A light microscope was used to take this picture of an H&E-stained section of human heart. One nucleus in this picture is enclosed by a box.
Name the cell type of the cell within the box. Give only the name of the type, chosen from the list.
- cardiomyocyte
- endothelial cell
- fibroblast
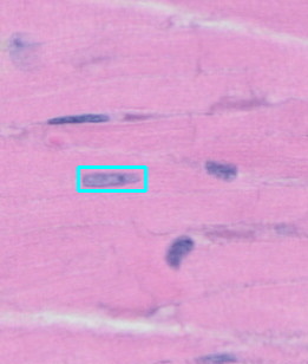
cardiomyocyte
